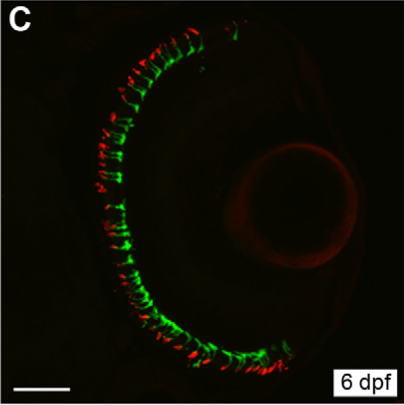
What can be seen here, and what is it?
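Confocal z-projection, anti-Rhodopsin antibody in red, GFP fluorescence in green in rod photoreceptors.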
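Along the outer curve, short red elongated profiles sit at the outermost edge, and just inward of them lies a row of slender green cells oriented radially, each stretching perpendicular to the retinal surface. The green cells are spaced fairly regularly along the whole arc and are denser toward the lower part. The inner retina is dark and unlabelled.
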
